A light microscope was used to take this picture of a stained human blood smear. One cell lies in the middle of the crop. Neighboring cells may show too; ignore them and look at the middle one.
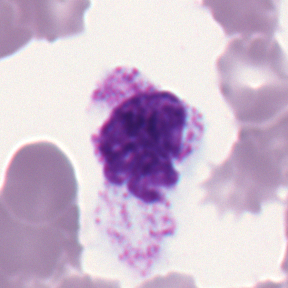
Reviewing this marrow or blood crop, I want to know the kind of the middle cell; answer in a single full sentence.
The cell that lies at the centre of the crop is a basophil.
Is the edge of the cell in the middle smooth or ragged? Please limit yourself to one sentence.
The periphery of this cell is uneven, with ragged portions or projections.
